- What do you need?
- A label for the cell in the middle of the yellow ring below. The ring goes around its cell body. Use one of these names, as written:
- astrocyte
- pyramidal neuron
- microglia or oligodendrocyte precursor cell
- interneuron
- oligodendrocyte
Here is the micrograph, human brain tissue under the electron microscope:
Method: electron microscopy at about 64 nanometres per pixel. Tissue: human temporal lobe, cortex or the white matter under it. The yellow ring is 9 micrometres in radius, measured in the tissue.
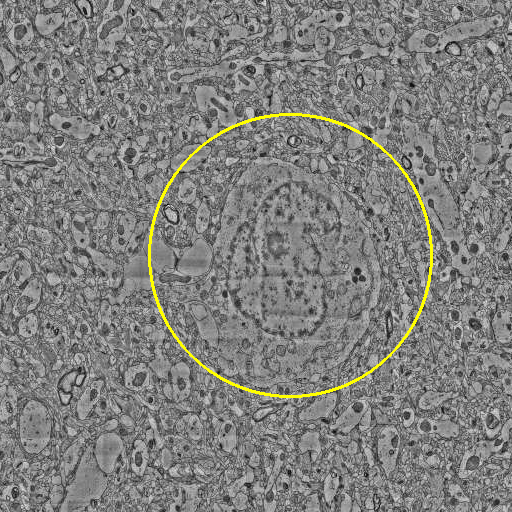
interneuron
